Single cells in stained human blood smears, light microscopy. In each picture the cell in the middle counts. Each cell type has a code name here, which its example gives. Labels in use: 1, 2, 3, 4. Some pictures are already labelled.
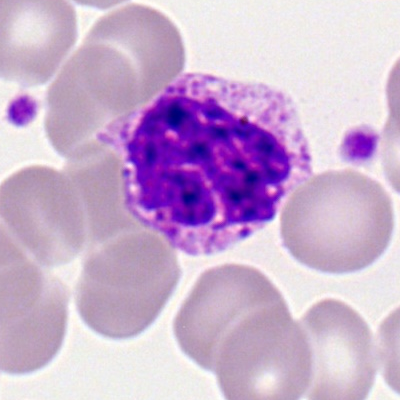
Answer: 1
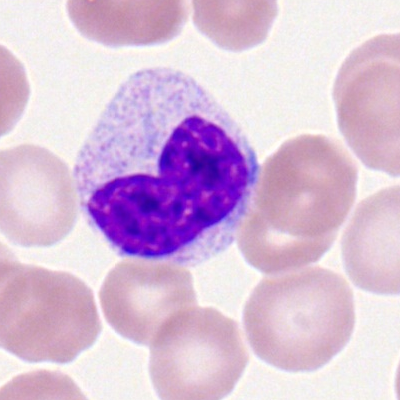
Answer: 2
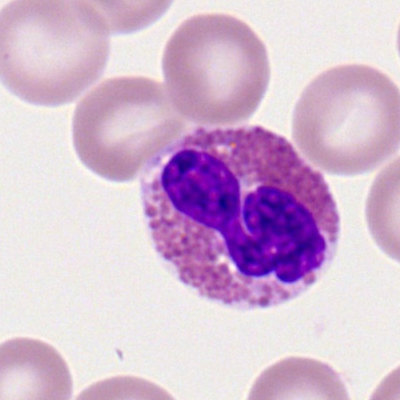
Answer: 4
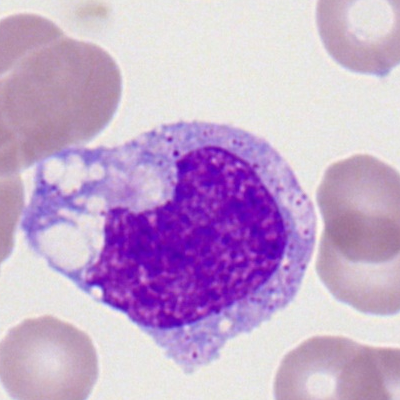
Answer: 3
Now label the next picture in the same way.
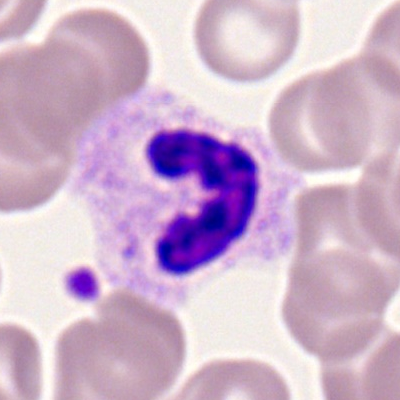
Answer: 2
